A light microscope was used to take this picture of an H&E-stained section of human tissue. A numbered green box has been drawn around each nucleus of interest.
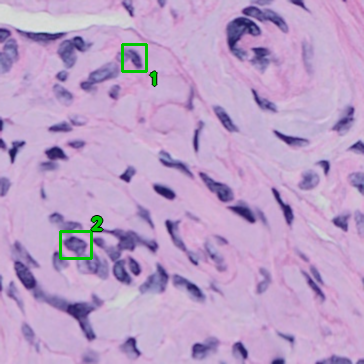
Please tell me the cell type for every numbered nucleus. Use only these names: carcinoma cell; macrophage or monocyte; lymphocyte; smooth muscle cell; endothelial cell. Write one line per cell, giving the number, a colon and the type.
1: smooth muscle cell
2: endothelial cell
